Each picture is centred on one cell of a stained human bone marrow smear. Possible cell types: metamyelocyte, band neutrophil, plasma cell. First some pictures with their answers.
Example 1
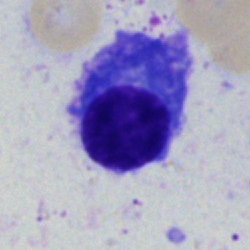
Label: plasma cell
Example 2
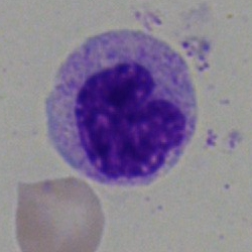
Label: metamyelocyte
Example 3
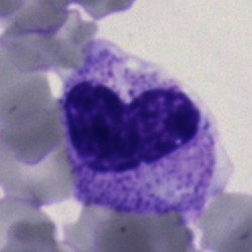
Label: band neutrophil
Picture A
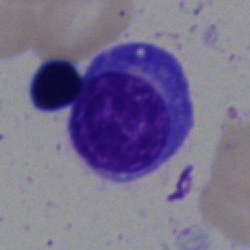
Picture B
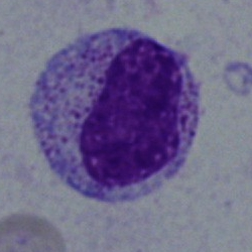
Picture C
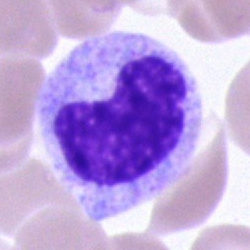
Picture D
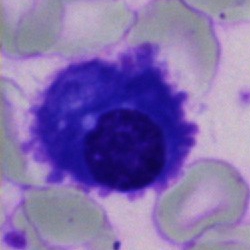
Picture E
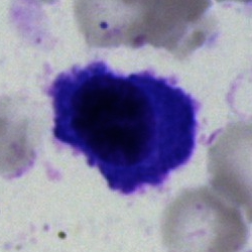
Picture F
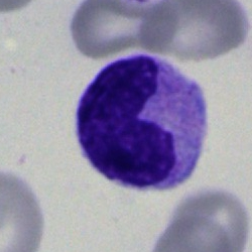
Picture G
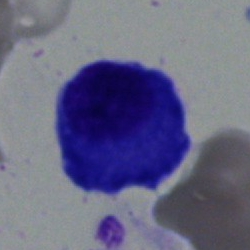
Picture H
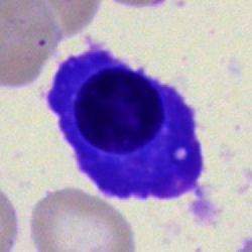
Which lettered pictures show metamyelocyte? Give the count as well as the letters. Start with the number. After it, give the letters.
3, namely B, C, F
